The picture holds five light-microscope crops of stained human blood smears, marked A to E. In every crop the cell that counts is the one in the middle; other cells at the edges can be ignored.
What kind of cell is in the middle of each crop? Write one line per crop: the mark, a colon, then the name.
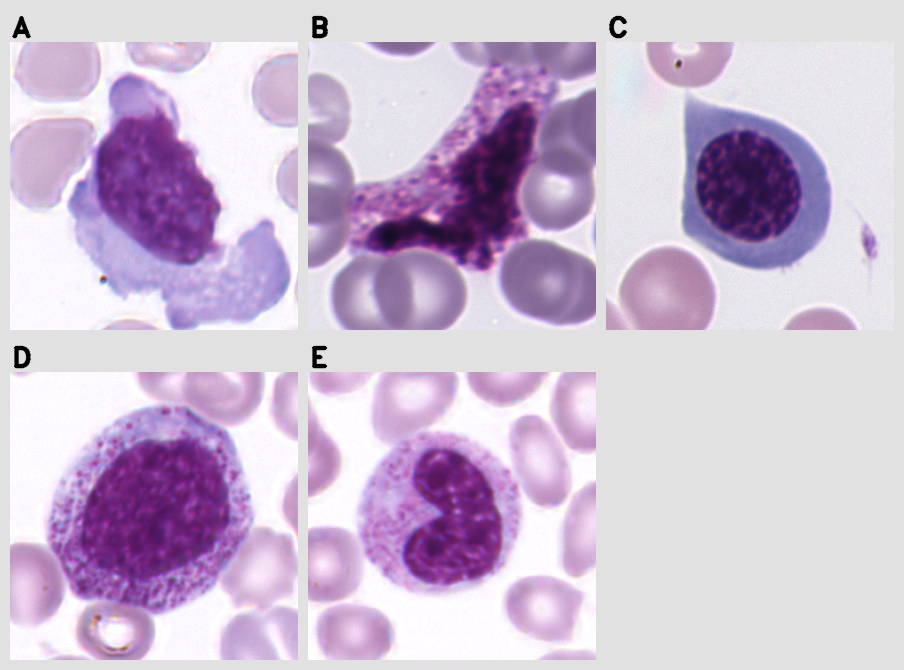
A: plasma cell
B: basophil
C: normoblast
D: promyelocyte
E: band neutrophil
